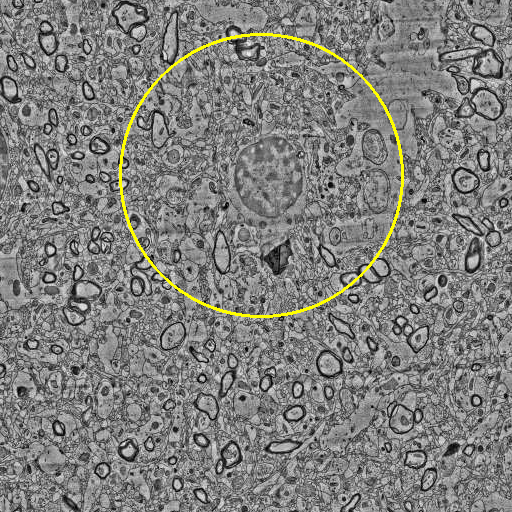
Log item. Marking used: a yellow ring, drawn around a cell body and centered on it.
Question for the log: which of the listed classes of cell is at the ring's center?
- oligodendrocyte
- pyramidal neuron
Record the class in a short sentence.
At the center of the ring lies an oligodendrocyte.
